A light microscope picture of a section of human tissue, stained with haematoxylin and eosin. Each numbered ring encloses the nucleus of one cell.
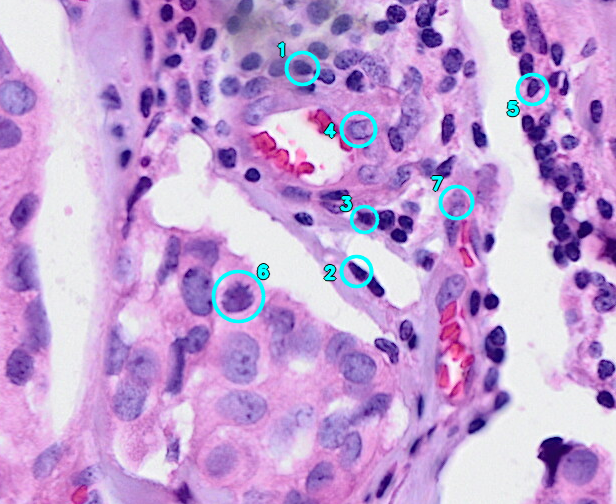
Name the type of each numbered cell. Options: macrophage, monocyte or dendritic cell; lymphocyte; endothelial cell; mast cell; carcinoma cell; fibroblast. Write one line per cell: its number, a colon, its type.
1: lymphocyte
2: lymphocyte
3: lymphocyte
4: endothelial cell
5: lymphocyte
6: carcinoma cell
7: endothelial cell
